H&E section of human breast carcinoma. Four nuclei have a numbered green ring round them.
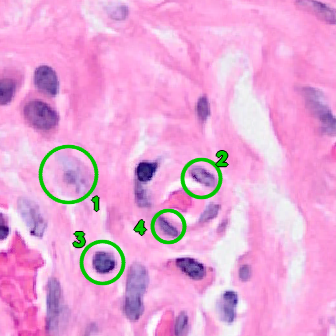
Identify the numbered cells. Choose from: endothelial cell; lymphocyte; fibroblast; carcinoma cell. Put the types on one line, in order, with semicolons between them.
fibroblast; endothelial cell; lymphocyte; endothelial cell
